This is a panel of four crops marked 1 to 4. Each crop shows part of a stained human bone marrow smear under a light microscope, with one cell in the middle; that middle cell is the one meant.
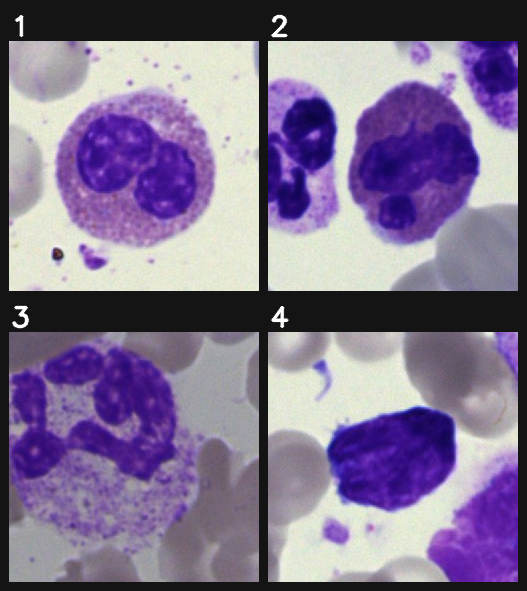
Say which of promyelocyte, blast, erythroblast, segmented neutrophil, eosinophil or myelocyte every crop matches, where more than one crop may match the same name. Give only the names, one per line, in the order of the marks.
eosinophil
eosinophil
segmented neutrophil
blast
